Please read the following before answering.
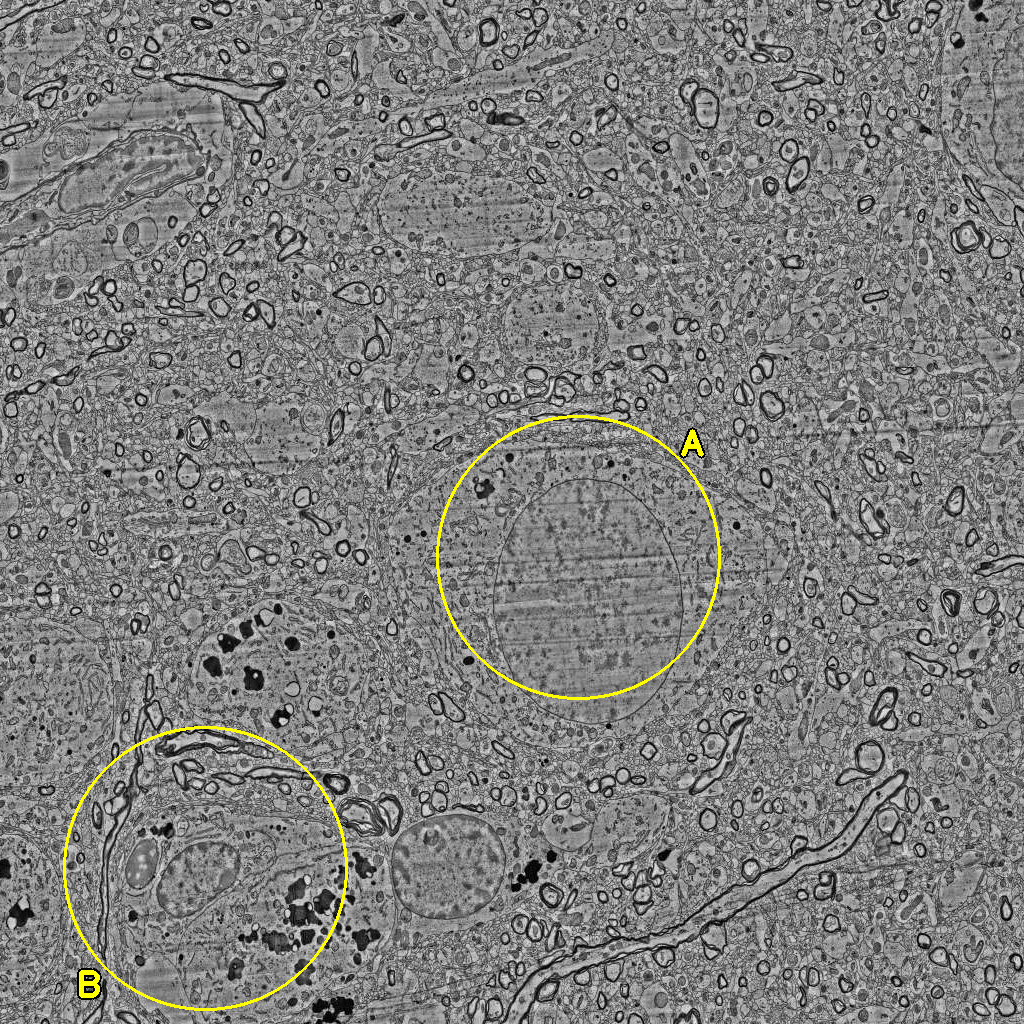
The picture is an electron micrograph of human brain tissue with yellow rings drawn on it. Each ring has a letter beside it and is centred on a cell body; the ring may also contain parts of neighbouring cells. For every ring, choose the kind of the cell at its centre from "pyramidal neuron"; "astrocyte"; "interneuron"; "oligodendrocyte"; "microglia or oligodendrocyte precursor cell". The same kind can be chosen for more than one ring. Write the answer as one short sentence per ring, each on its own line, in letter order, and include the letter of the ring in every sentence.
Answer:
The kind of cell at the centre of ring A is a pyramidal neuron.
The kind of cell at the centre of ring B is a microglial cell or oligodendrocyte precursor cell.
